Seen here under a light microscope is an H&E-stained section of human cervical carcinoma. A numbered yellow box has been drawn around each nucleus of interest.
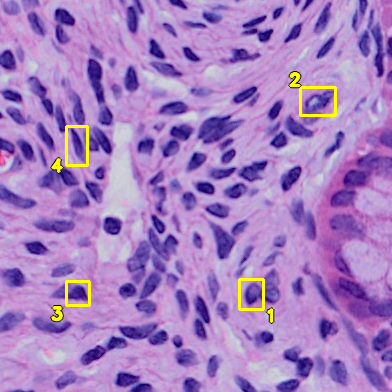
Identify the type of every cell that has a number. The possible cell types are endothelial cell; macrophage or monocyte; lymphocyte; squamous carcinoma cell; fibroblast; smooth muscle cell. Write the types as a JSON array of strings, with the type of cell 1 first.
["endothelial cell", "endothelial cell", "fibroblast", "fibroblast"]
